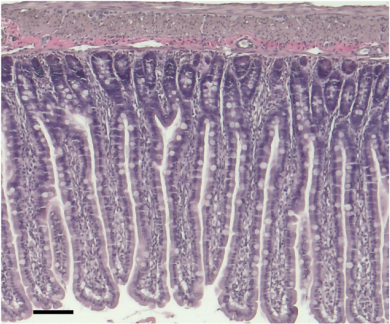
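This section of the intestinal wall shows tall, slender, finger-like villi that are closely packed side by side and hang from the wall toward the lumen. Each villus is lined by a single layer of tall columnar epithelial cells with purple, elongated nuclei lined up near the base of the cells. Scattered among the epithelial cells are pale, rounded, clear-looking cells. The core of each villus holds loose connective tissue with many small nuclei. At the base of the villi, toward the wall, lie tubular crypts, and beyond them runs a pink band of smooth muscle with a paler outer layer.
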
